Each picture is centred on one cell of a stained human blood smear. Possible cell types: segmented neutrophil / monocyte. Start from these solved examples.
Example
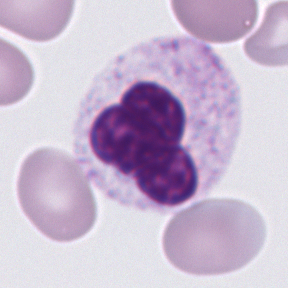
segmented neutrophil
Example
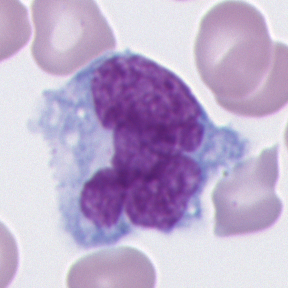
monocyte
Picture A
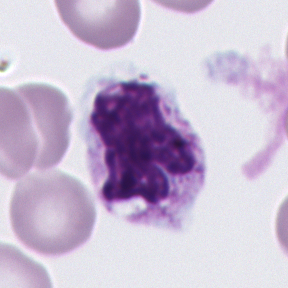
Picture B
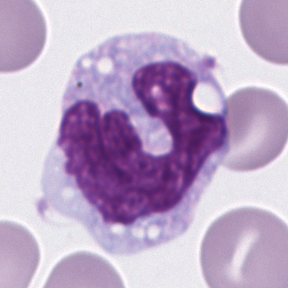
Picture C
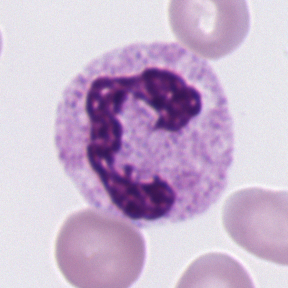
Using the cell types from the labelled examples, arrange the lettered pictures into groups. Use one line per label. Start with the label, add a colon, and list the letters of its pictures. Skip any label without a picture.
segmented neutrophil: A, C
monocyte: B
